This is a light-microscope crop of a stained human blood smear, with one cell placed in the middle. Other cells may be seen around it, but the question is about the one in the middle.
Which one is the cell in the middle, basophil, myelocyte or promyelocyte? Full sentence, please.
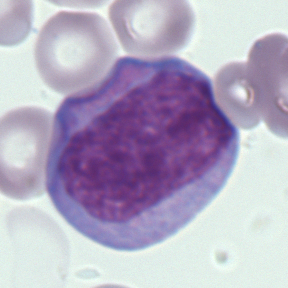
At the crop's centre, the cell is a promyelocyte.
